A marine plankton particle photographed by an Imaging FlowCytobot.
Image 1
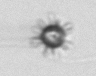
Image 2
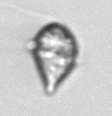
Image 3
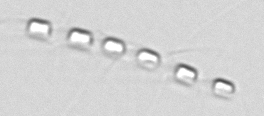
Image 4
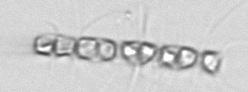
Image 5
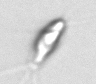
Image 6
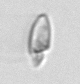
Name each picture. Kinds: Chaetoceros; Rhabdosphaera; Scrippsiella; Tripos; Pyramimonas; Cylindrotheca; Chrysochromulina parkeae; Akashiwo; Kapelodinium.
Picture 1: Rhabdosphaera
Picture 2: Scrippsiella
Picture 3: Chaetoceros
Picture 4: Chaetoceros
Picture 5: Chrysochromulina parkeae
Picture 6: Kapelodinium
